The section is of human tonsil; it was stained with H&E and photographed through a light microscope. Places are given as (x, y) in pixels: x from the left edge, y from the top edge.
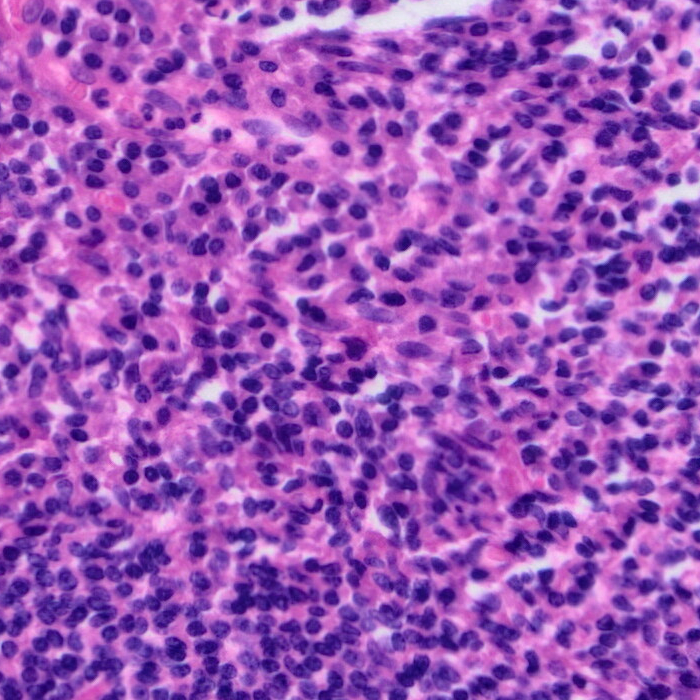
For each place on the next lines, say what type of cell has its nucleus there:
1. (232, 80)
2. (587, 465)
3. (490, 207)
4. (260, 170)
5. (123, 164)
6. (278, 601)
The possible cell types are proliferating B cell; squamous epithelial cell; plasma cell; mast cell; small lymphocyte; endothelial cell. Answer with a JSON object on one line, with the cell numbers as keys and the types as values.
{"1": "plasma cell", "2": "small lymphocyte", "3": "plasma cell", "4": "plasma cell", "5": "plasma cell", "6": "small lymphocyte"}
